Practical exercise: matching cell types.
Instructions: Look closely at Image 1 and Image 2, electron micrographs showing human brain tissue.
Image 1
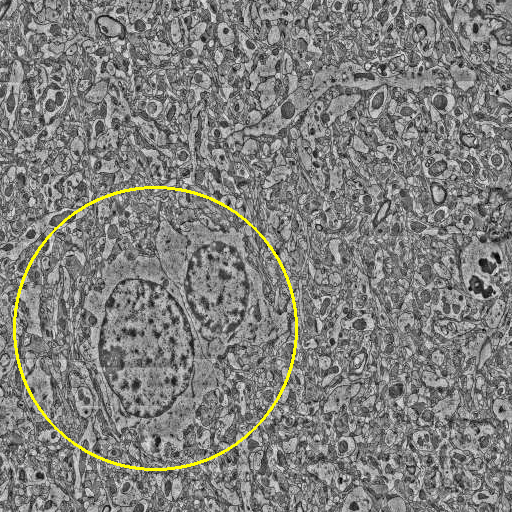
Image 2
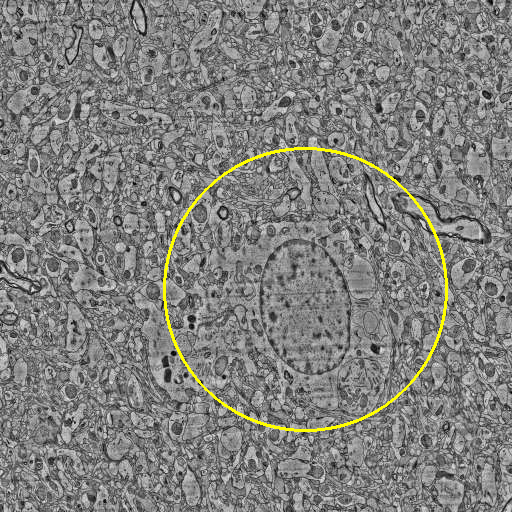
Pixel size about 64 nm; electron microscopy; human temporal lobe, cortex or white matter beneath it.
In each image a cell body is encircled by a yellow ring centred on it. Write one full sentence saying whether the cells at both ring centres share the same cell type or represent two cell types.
Across Image 1 and Image 2, the cells at the ring centres share the same cell type.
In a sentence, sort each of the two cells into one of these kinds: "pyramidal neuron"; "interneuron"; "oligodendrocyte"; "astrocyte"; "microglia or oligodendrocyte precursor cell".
Each one of the two ringed cells is an astrocyte.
